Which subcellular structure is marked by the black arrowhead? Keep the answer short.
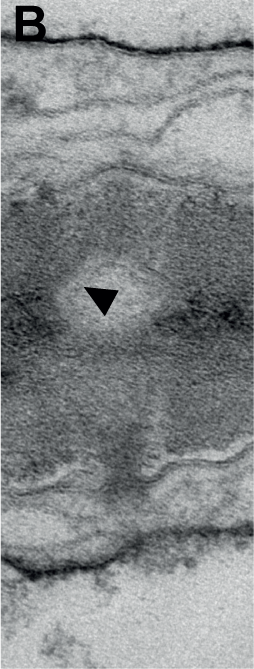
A: Desmotubules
